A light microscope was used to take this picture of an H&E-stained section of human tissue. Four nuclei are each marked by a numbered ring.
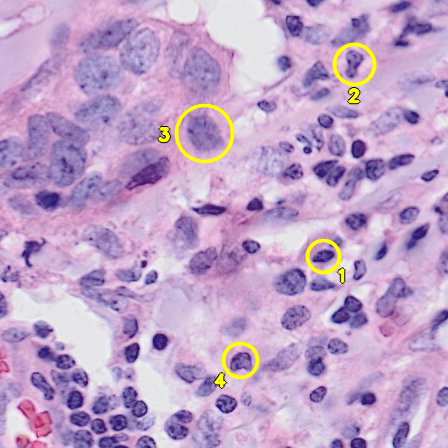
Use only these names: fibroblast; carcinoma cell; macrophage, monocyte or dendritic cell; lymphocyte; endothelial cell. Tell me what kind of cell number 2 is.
lymphocyte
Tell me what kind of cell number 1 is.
lymphocyte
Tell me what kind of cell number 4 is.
lymphocyte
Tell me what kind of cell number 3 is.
carcinoma cell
